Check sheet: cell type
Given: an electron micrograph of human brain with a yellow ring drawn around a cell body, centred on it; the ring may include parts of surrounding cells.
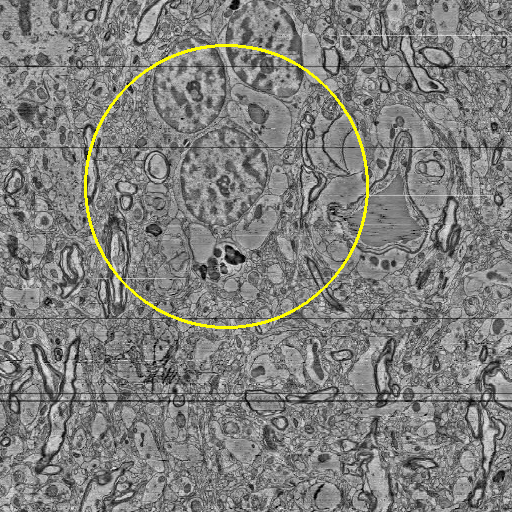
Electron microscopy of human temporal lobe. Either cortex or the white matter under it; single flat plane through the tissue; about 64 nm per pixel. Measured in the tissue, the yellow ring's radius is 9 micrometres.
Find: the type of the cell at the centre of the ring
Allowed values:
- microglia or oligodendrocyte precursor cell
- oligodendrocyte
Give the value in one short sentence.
Here the ringed cell is an oligodendrocyte.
